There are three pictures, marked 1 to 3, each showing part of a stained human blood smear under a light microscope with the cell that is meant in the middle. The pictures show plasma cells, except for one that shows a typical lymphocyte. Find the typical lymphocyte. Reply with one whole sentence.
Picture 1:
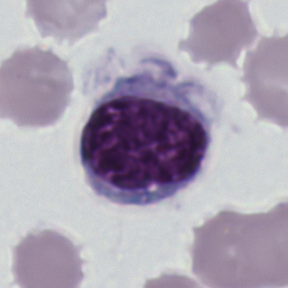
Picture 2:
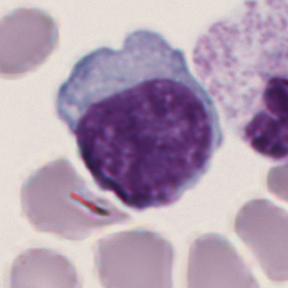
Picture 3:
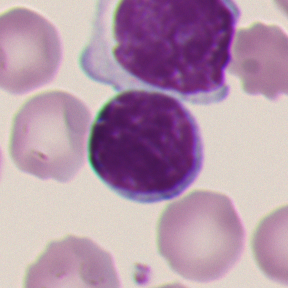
The cell in picture 3 is the typical lymphocyte.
